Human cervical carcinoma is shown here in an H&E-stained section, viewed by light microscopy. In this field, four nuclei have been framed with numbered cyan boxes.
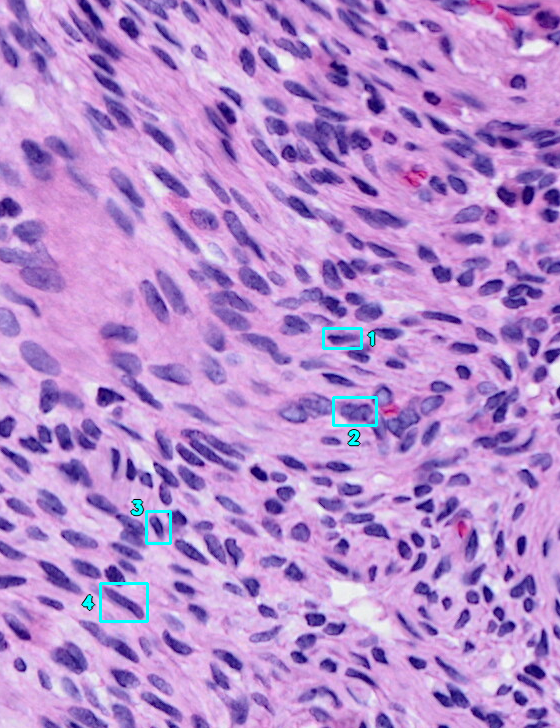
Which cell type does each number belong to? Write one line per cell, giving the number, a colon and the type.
1: fibroblast
2: endothelial cell
3: fibroblast
4: fibroblast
